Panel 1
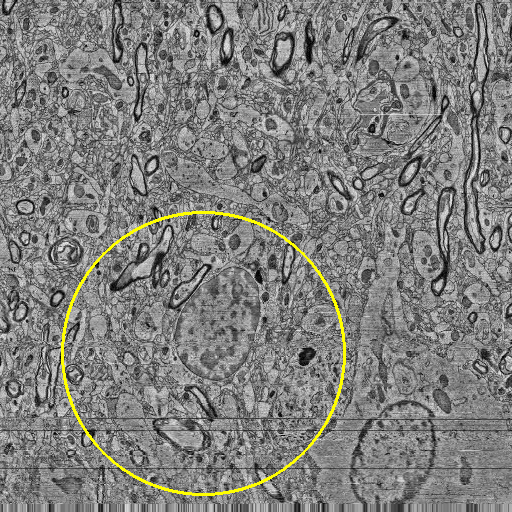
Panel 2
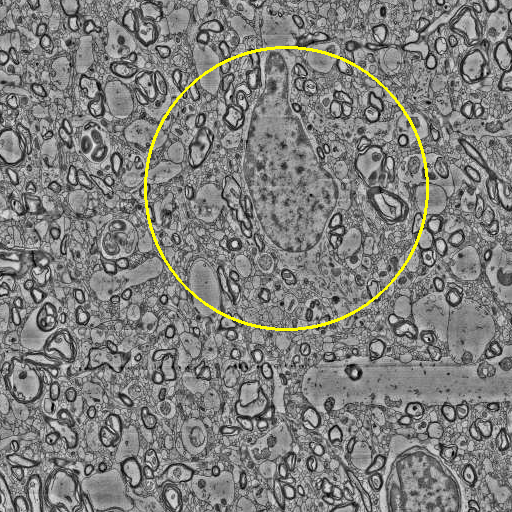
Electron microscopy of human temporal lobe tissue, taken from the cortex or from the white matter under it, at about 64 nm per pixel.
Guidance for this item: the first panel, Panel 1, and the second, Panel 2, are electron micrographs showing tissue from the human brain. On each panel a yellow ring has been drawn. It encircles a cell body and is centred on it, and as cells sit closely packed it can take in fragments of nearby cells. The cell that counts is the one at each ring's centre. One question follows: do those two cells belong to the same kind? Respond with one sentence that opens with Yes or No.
Yes, the cells at the ring centres in Panel 1 and Panel 2 are of one kind.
